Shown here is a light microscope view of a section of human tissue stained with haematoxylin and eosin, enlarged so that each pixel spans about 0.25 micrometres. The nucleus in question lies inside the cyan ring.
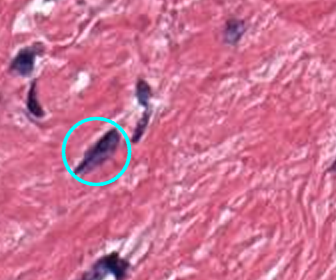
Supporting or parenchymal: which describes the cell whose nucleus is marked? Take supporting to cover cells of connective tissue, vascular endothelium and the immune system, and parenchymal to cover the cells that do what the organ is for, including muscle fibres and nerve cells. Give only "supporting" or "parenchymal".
supporting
